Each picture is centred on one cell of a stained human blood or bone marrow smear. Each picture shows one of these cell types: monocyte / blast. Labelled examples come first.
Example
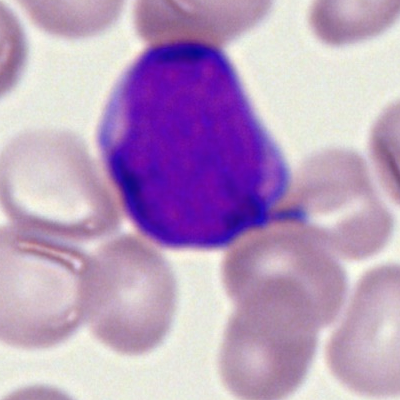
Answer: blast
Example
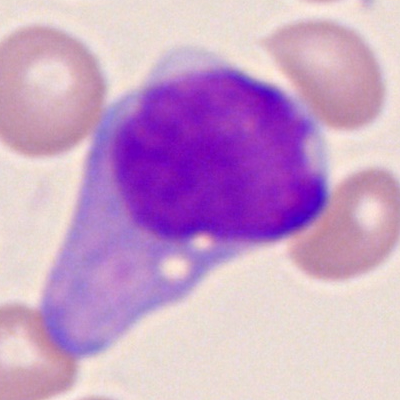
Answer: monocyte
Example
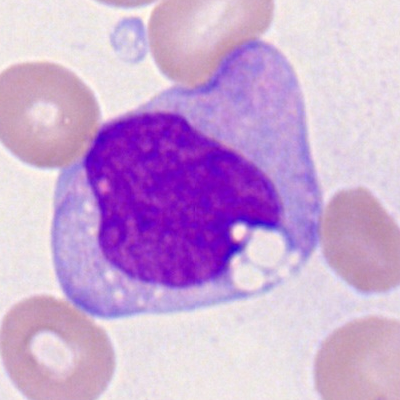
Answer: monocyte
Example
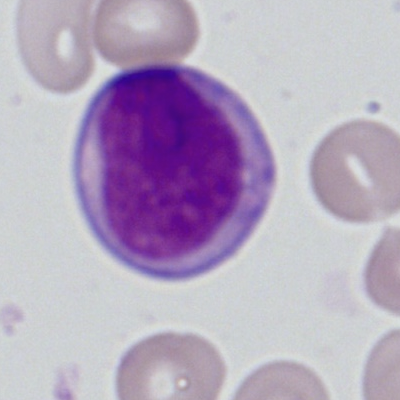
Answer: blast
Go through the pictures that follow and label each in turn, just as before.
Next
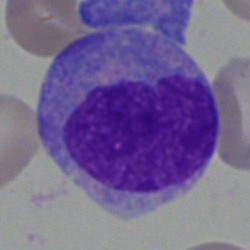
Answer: monocyte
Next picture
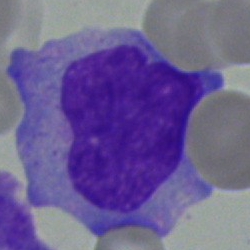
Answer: monocyte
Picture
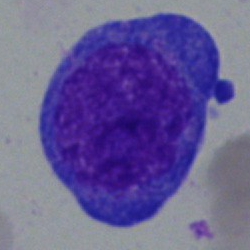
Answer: blast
